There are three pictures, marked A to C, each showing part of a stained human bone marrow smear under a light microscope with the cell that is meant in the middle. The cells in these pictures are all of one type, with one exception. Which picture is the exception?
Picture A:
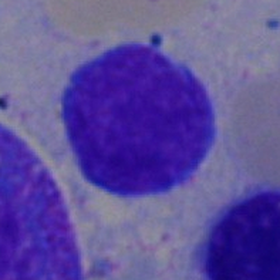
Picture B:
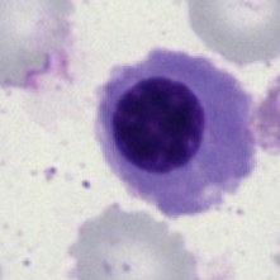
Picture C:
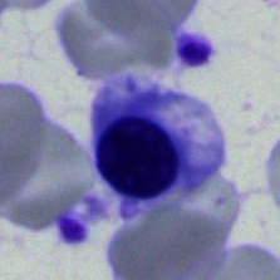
A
